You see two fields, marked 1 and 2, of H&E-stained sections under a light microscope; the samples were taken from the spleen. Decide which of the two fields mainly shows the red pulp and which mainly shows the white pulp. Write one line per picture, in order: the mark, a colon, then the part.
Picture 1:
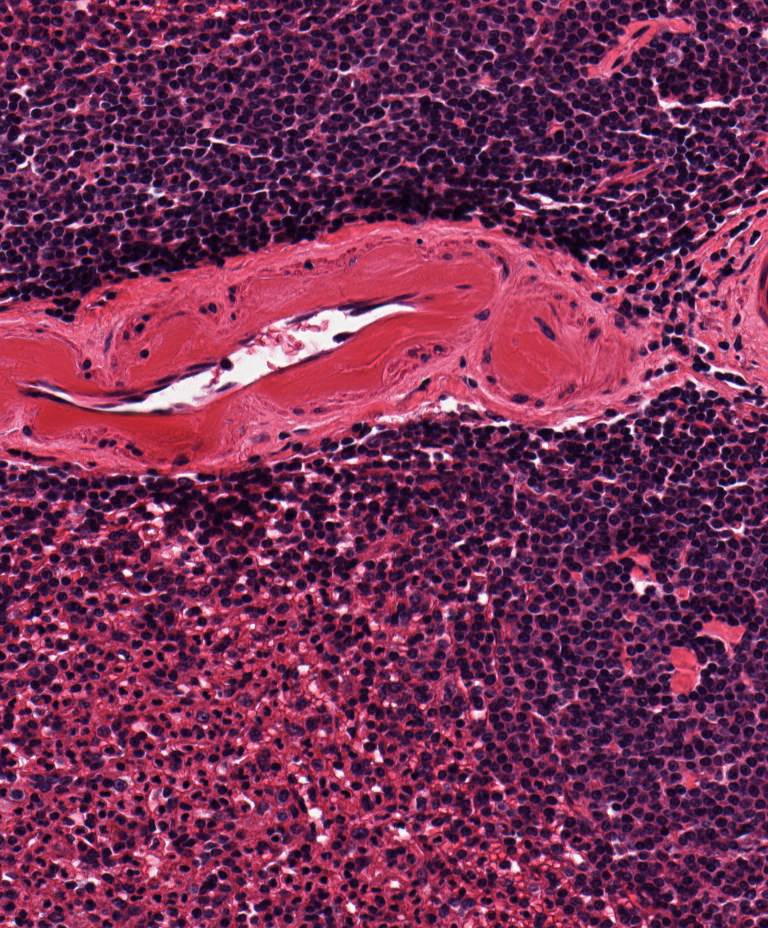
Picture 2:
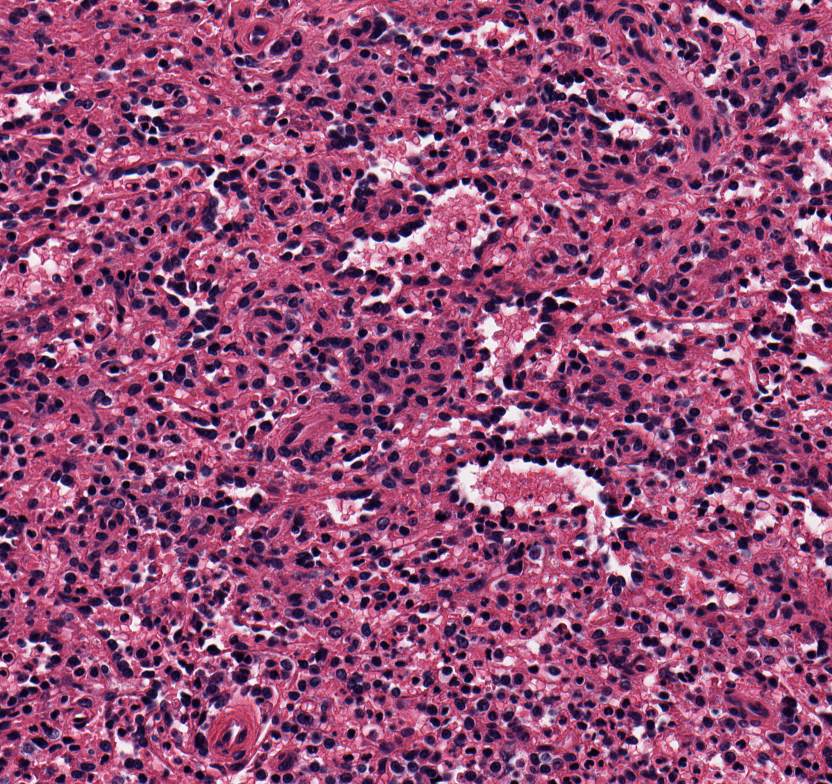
1: white pulp
2: red pulp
